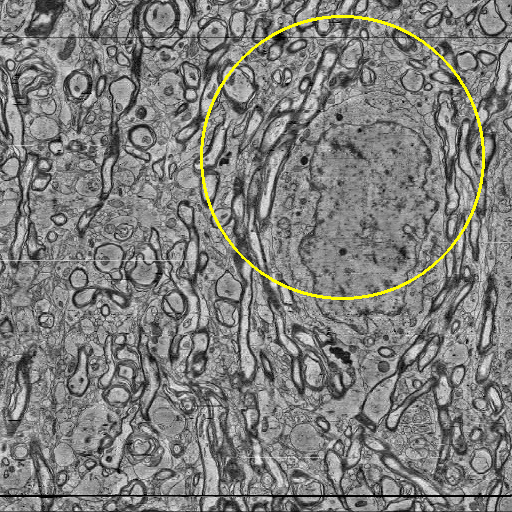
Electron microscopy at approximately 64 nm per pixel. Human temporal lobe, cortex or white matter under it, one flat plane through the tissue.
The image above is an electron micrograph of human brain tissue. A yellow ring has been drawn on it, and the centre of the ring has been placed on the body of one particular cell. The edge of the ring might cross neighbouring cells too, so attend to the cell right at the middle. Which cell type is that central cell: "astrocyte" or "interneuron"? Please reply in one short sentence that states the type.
The central cell in the ring is an interneuron.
